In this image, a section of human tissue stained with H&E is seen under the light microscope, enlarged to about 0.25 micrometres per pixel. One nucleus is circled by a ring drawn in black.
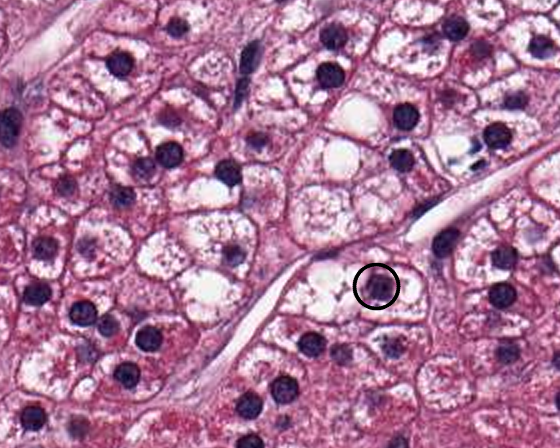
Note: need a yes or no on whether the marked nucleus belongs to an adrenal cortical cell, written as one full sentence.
Yes, the marked nucleus is contained in an adrenal cortical cell.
